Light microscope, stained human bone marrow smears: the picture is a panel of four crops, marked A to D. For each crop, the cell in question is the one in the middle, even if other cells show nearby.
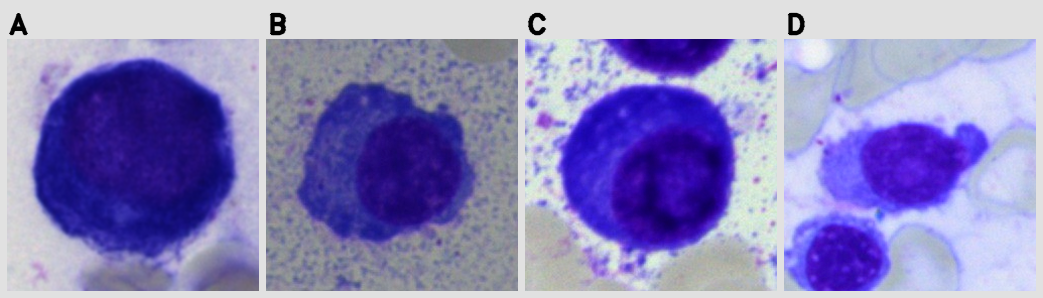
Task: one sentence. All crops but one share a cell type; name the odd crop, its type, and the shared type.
Crop A breaks the pattern as a proerythroblast; the other crops all contain plasma cells.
